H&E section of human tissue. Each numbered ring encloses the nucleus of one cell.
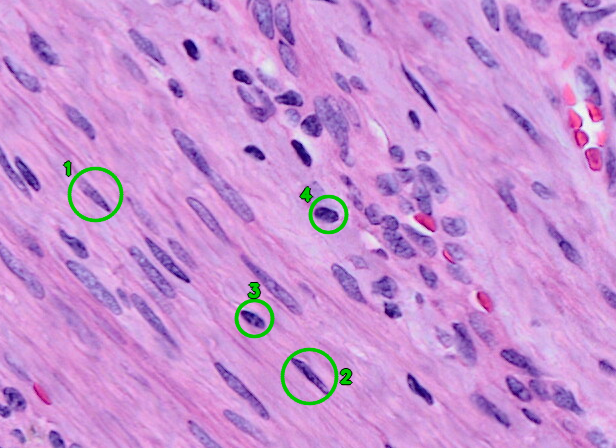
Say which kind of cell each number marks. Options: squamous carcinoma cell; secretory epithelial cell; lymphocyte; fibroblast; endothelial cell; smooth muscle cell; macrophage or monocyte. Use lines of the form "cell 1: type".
cell 1: fibroblast
cell 2: fibroblast
cell 3: lymphocyte
cell 4: lymphocyte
